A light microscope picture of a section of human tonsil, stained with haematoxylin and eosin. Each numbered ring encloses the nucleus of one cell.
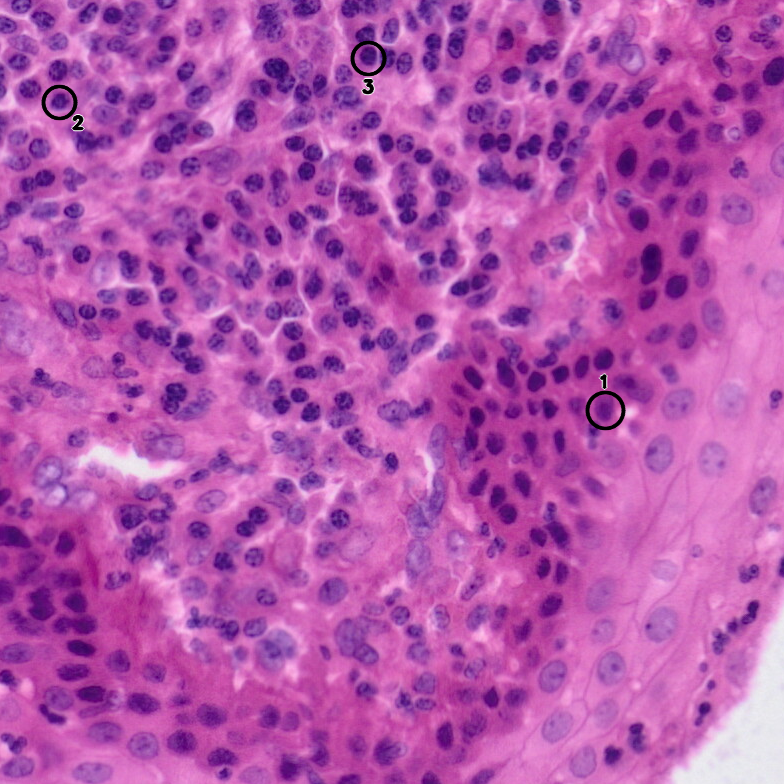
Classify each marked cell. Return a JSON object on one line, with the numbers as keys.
{"1": "squamous epithelial cell", "2": "plasma cell", "3": "plasma cell"}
